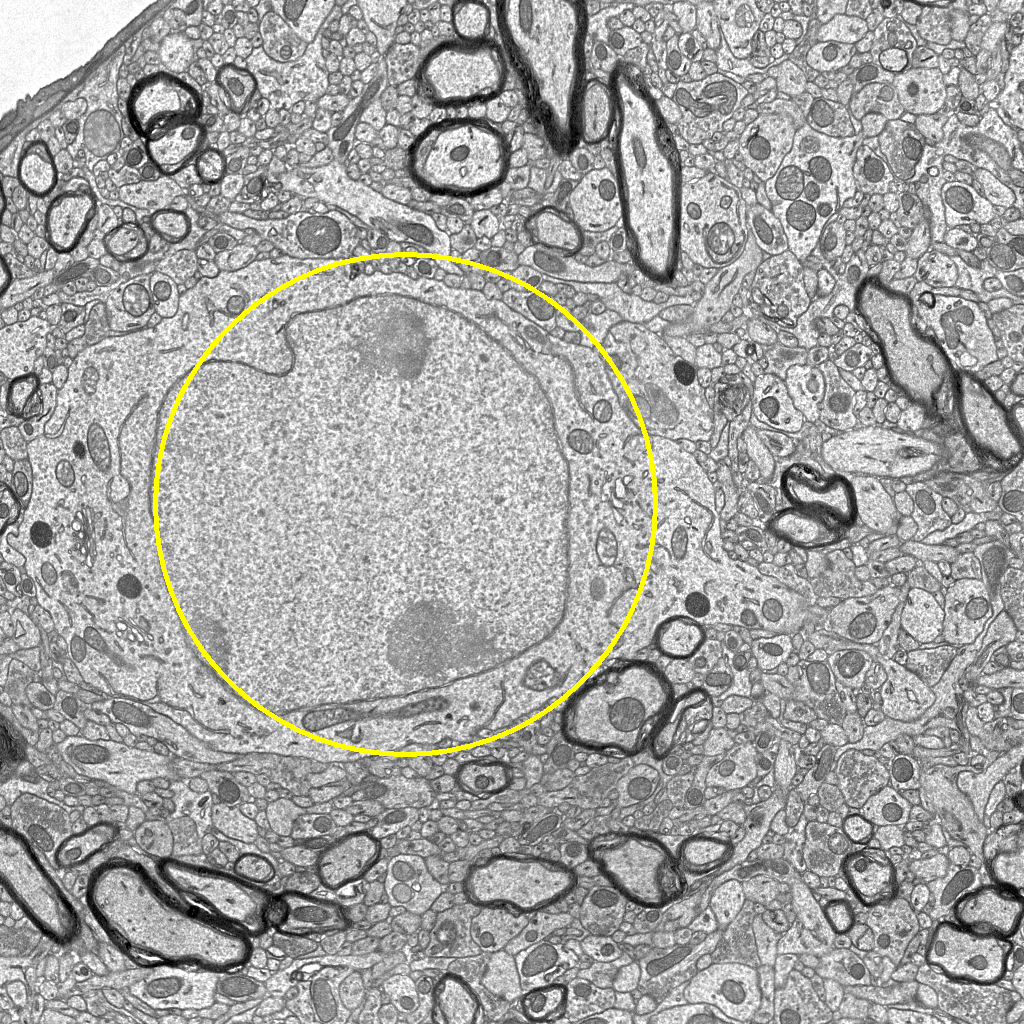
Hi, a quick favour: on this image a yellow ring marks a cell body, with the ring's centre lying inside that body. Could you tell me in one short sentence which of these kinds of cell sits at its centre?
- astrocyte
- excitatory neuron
The ring's centre lies in an excitatory neuron.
